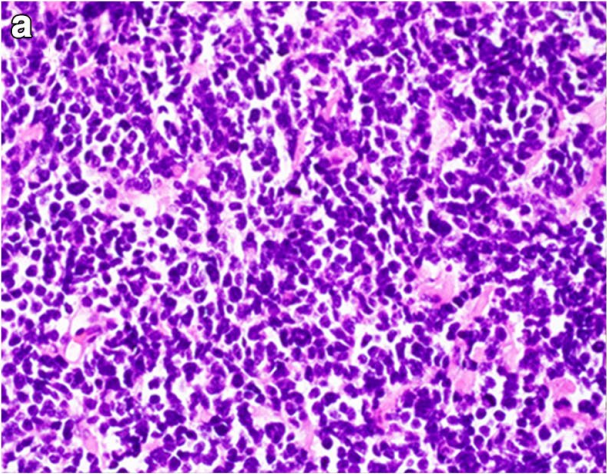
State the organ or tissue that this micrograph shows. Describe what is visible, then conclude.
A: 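Cancer tissue. Densely packed sheets of cells with no normal tissue architecture. Nuclei are dark, crowded and fill most of each cell. Little cytoplasm, with only thin pink strands between the cell sheets.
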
